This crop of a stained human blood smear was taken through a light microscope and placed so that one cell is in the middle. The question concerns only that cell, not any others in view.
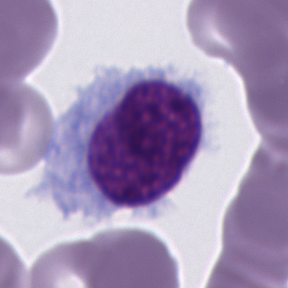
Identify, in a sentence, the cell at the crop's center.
The crop centres on a single cell, and that cell is a hairy cell.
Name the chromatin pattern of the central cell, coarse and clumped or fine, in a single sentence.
The chromatin is fine throughout, without coarse clumps.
